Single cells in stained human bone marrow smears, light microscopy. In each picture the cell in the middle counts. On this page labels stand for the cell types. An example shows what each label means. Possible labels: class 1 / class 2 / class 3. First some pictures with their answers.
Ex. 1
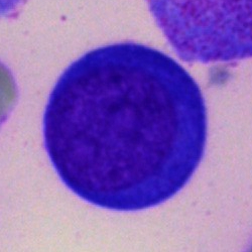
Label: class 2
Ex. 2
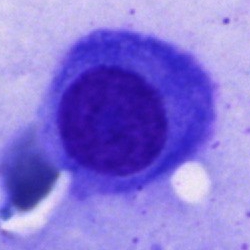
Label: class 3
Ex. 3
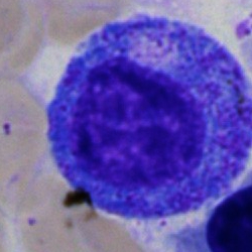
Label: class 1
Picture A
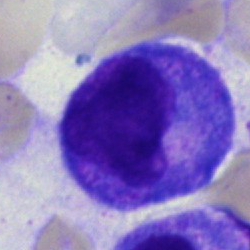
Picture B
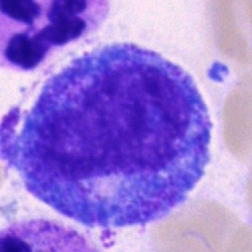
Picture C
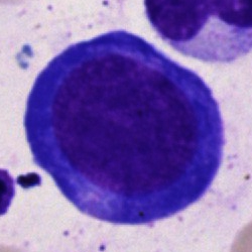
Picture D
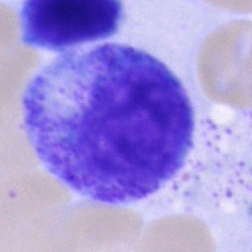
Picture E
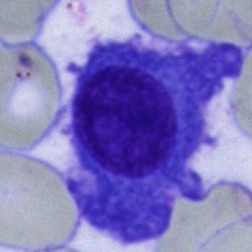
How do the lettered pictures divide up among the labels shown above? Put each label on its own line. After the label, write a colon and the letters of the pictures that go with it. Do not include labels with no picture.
class 1: A, B, D
class 2: C
class 3: E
